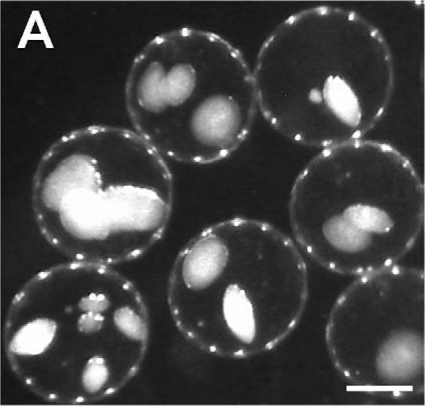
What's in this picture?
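The capsules lie close together, and some touch their neighbours. Inside each capsule are one to several bright, oval to irregular clusters of cells, and in places these clusters merge into larger masses. Single cells are hard to make out within the clusters, and the rest of each capsule's interior looks dark and empty.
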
